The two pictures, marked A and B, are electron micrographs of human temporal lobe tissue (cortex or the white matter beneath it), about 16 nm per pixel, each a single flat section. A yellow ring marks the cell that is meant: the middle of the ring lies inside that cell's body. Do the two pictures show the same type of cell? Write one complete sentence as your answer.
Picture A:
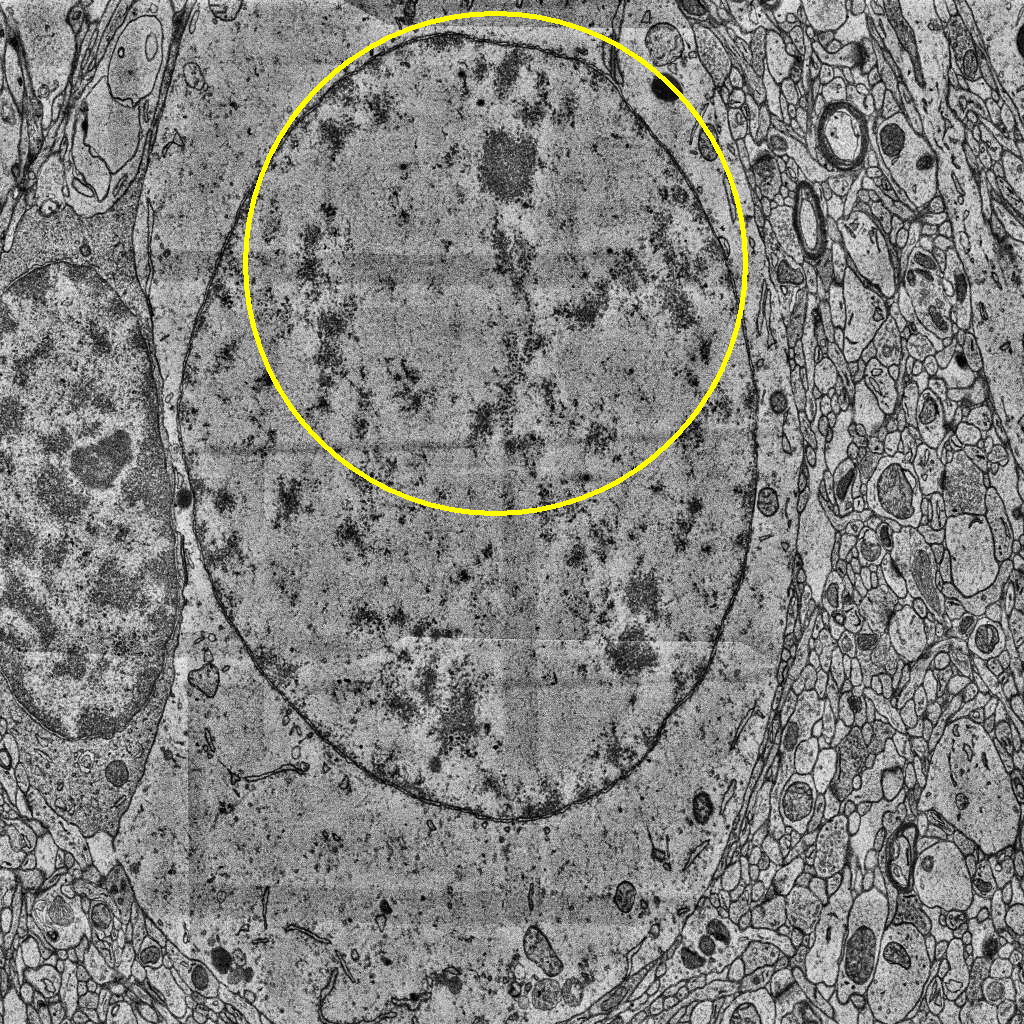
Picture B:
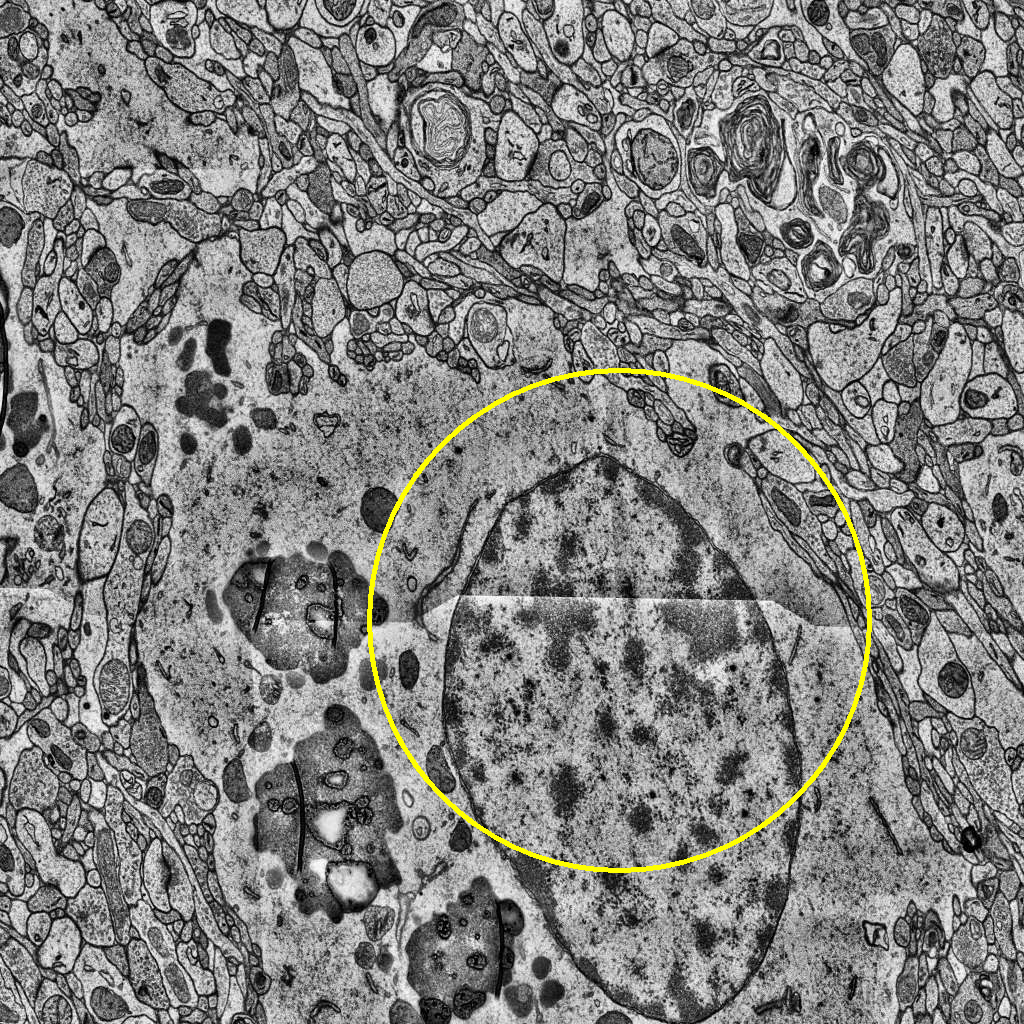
No, picture A shows a pyramidal neuron and picture B shows an astrocyte.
